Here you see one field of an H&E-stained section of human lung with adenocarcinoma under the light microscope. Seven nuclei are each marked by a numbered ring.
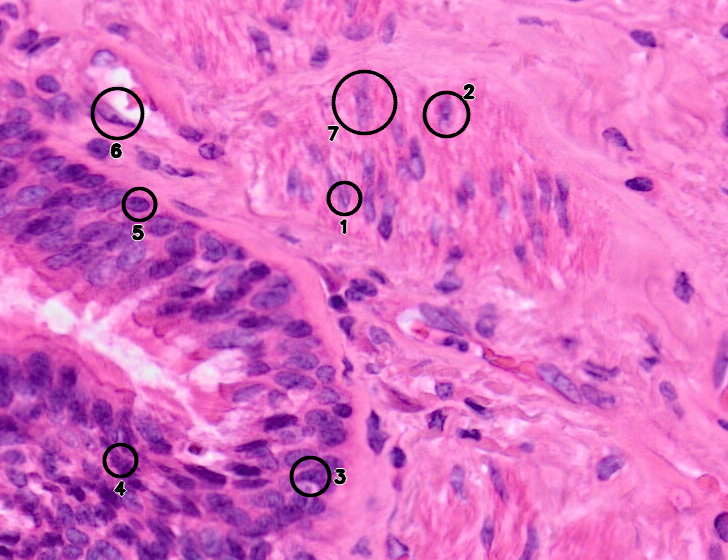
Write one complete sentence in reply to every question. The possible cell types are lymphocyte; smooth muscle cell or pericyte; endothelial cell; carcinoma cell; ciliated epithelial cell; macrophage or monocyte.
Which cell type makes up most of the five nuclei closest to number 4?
Around number 4, most of the five nearest nuclei are those of ciliated epithelial cells.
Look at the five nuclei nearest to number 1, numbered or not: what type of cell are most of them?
Smooth muscle cells or pericytes make up most of the five nuclei closest to number 1.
